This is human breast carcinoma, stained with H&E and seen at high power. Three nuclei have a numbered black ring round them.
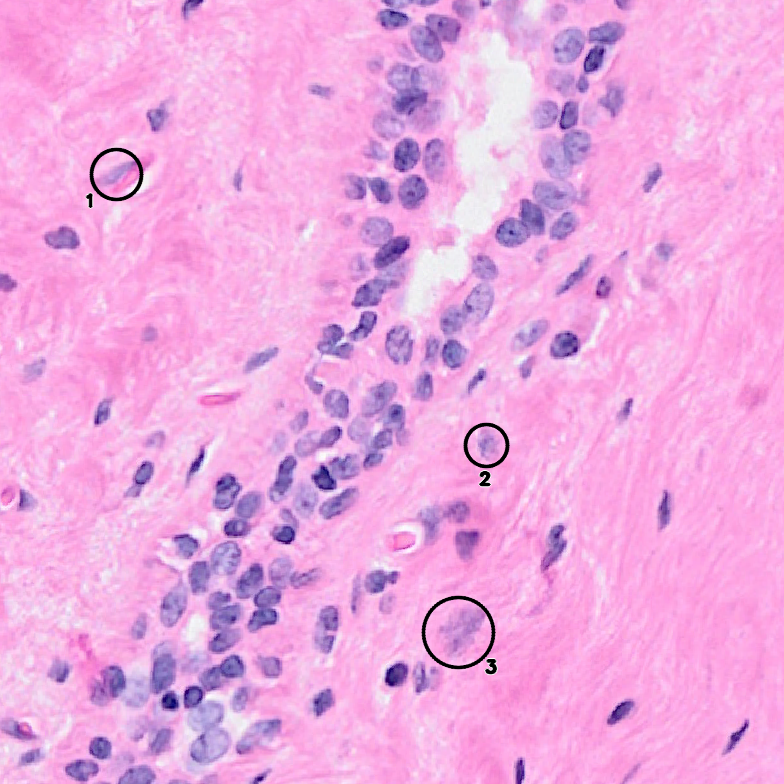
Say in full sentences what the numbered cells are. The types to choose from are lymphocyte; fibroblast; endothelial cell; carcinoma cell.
Cell 1 is an endothelial cell. Cells 2 and 3 are fibroblasts.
